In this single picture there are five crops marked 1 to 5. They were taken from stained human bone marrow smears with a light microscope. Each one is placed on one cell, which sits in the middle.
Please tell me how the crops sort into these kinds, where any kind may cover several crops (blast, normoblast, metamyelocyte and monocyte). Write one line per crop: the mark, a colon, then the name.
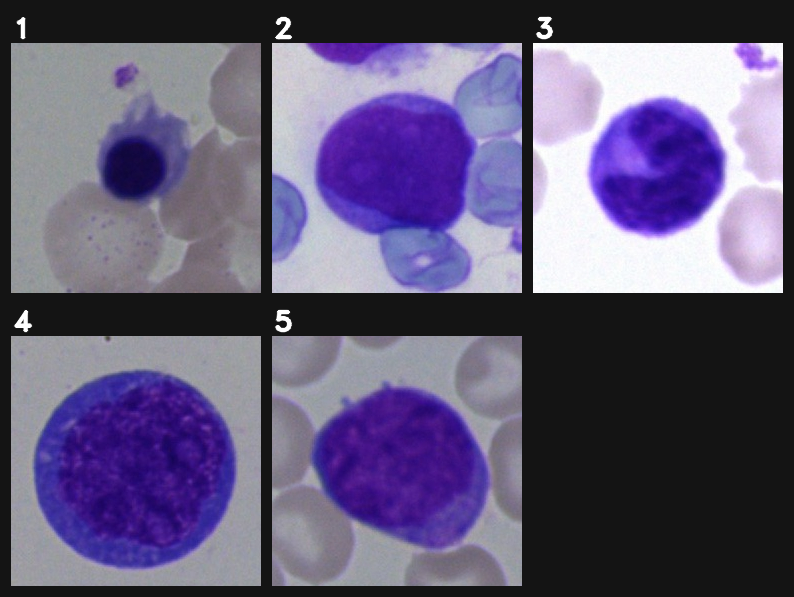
1: normoblast
2: blast
3: monocyte
4: blast
5: blast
